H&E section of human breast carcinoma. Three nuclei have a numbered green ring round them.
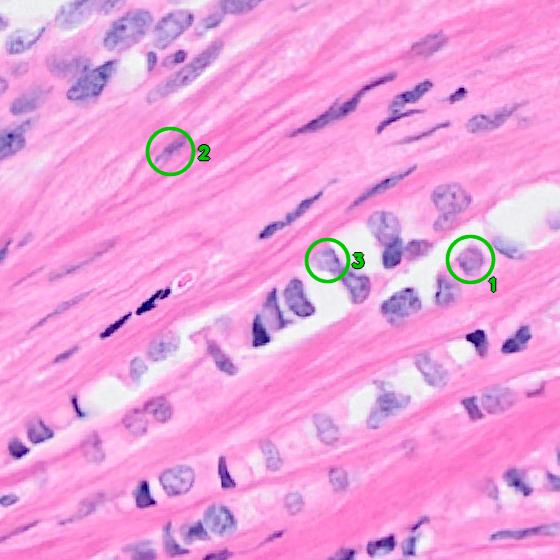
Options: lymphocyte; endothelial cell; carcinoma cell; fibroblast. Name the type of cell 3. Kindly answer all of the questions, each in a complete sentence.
Among the marked cells, number 3 is a carcinoma cell.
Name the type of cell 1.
The cell that bears the number 1 is a carcinoma cell.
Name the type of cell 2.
Here the cell numbered 2 is a fibroblast.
